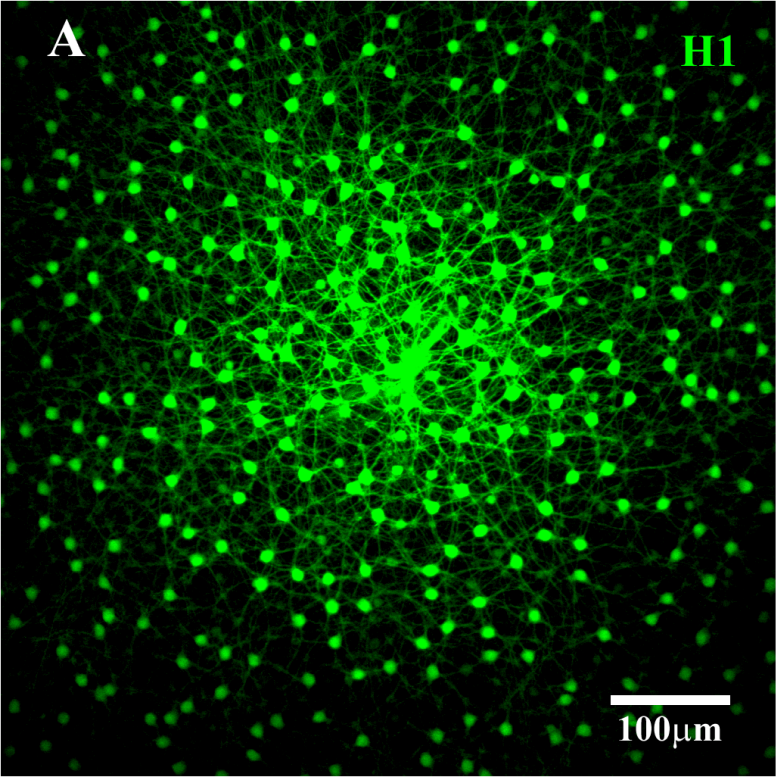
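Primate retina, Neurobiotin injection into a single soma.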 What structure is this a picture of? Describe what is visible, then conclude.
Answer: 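Dense matrix of overlapping dendrites. A fine meshwork of thin branching processes fills the spaces between somata. Processes of neighbouring cells cross and overlap.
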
